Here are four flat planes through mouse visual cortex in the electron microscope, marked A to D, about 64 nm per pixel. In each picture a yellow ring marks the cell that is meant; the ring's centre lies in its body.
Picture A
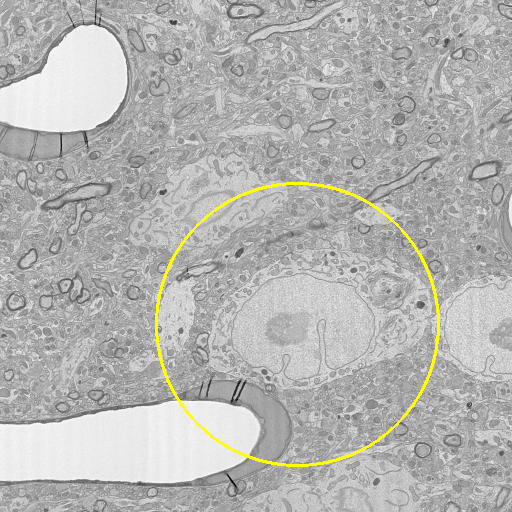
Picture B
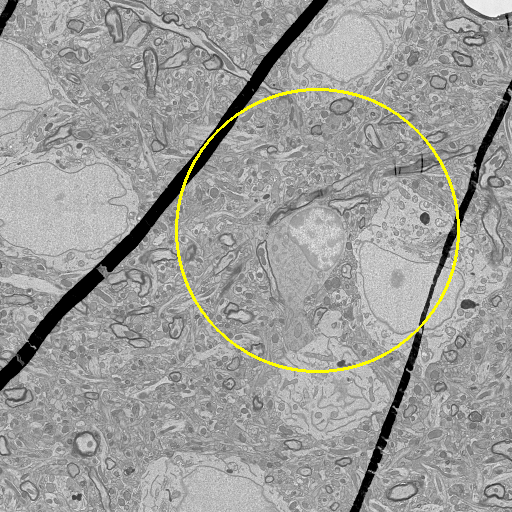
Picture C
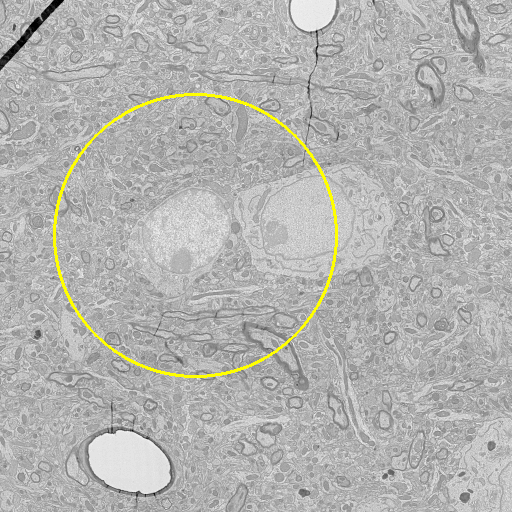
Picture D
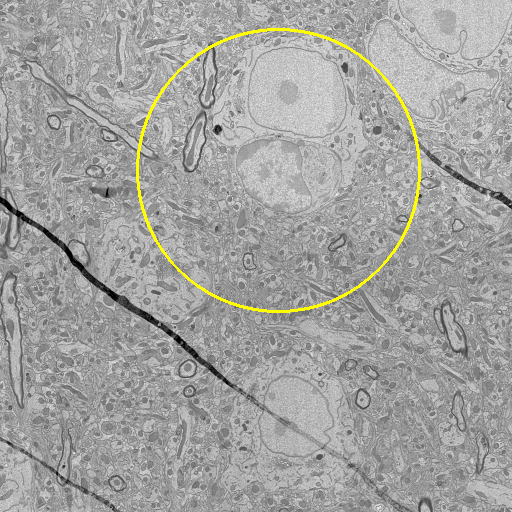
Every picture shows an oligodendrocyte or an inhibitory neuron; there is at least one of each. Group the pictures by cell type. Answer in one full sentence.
Pictures B, C and D show oligodendrocytes; picture A shows an inhibitory neuron.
